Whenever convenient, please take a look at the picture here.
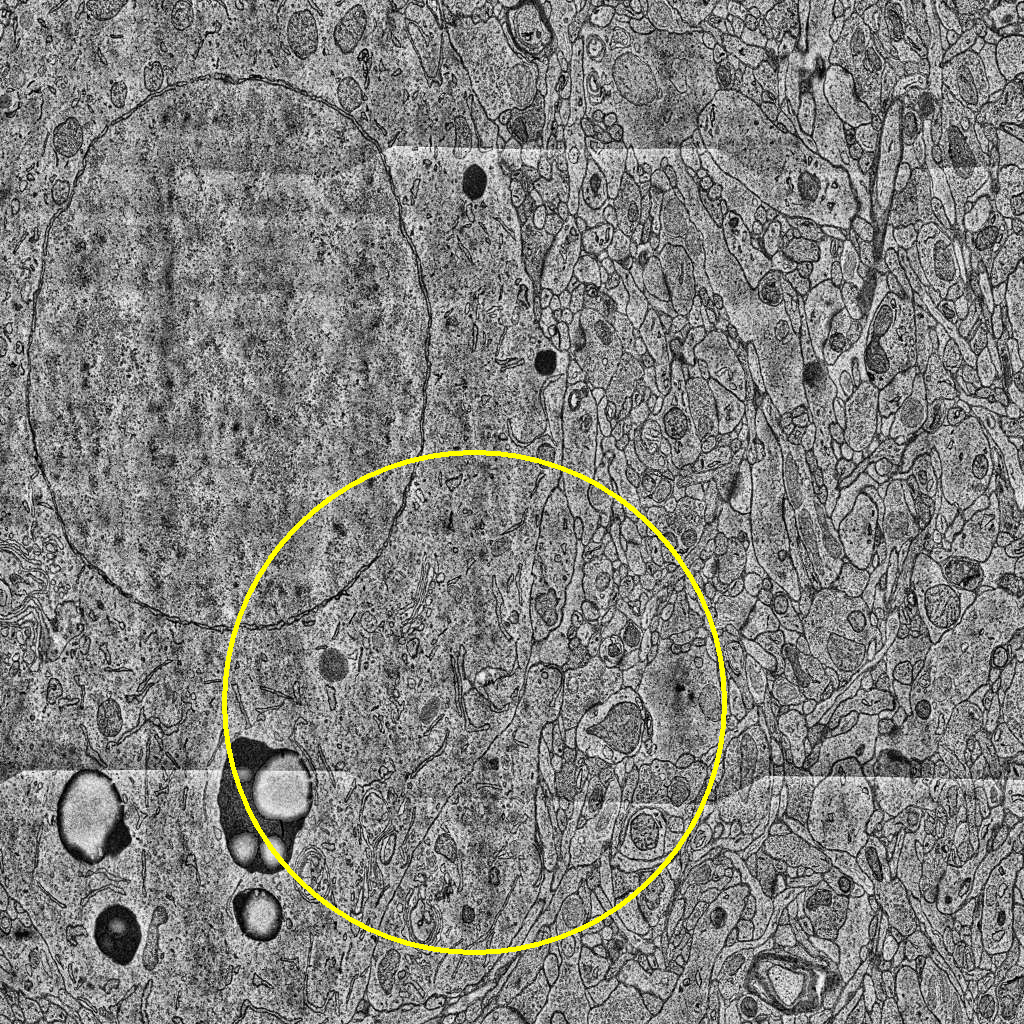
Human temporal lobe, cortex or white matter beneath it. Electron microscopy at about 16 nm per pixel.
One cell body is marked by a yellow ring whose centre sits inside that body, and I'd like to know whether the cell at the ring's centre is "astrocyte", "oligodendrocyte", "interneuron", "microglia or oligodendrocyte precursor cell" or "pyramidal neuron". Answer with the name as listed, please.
pyramidal neuron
